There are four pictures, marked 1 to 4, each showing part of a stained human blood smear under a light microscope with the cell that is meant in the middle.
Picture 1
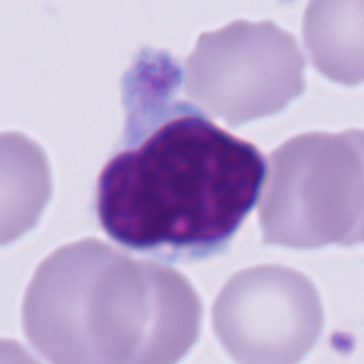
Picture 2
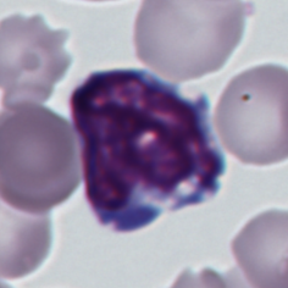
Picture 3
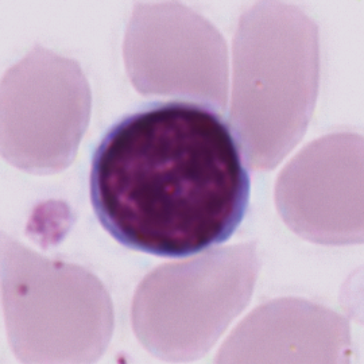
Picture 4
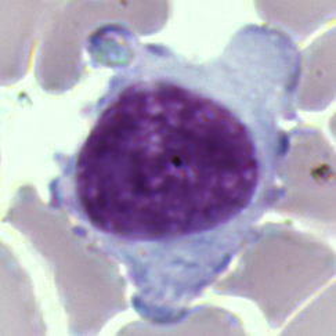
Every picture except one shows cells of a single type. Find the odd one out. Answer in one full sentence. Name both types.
All pictures except 4 show typical lymphocytes; picture 4 shows a plasma cell.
